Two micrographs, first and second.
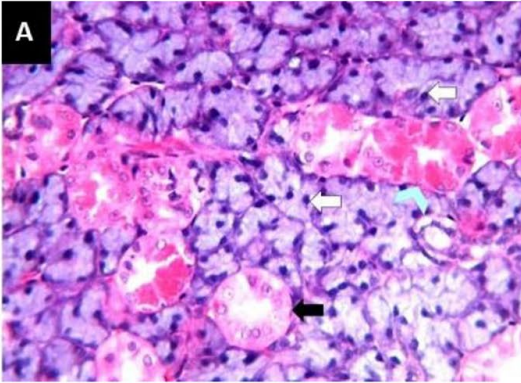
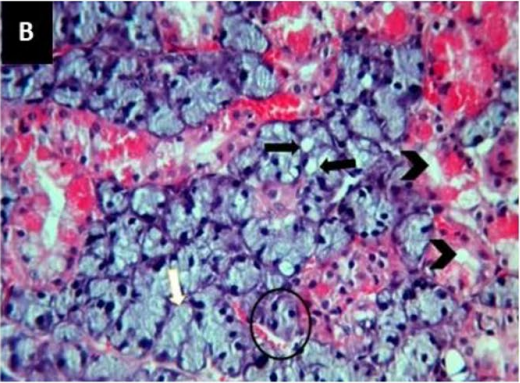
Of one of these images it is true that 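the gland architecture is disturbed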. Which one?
The second image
